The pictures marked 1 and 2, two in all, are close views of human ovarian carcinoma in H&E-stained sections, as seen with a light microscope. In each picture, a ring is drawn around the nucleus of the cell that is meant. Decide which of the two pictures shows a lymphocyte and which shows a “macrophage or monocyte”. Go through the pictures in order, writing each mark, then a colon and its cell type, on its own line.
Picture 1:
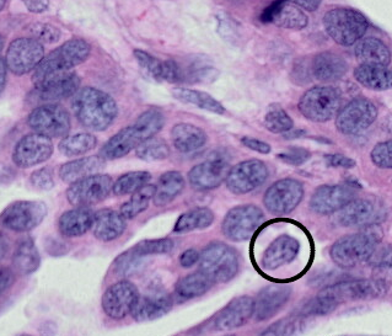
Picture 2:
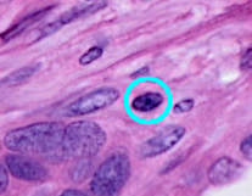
1: macrophage or monocyte
2: lymphocyte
